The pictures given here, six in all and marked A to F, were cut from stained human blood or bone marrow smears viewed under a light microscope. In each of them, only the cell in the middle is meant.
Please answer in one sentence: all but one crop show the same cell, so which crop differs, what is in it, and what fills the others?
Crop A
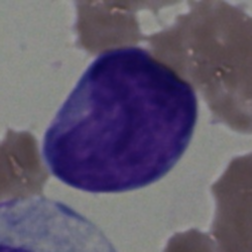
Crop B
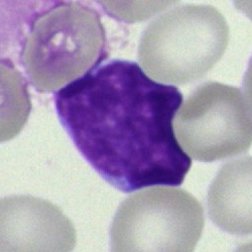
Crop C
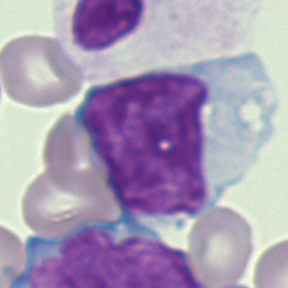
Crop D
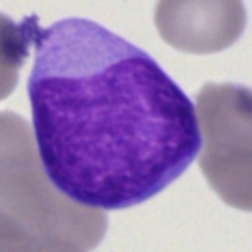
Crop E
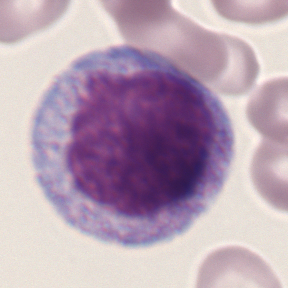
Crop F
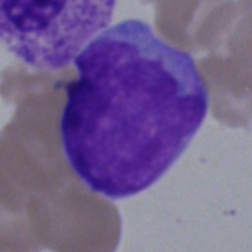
With the other crops all showing blasts, crop E differs by showing a promyelocyte.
